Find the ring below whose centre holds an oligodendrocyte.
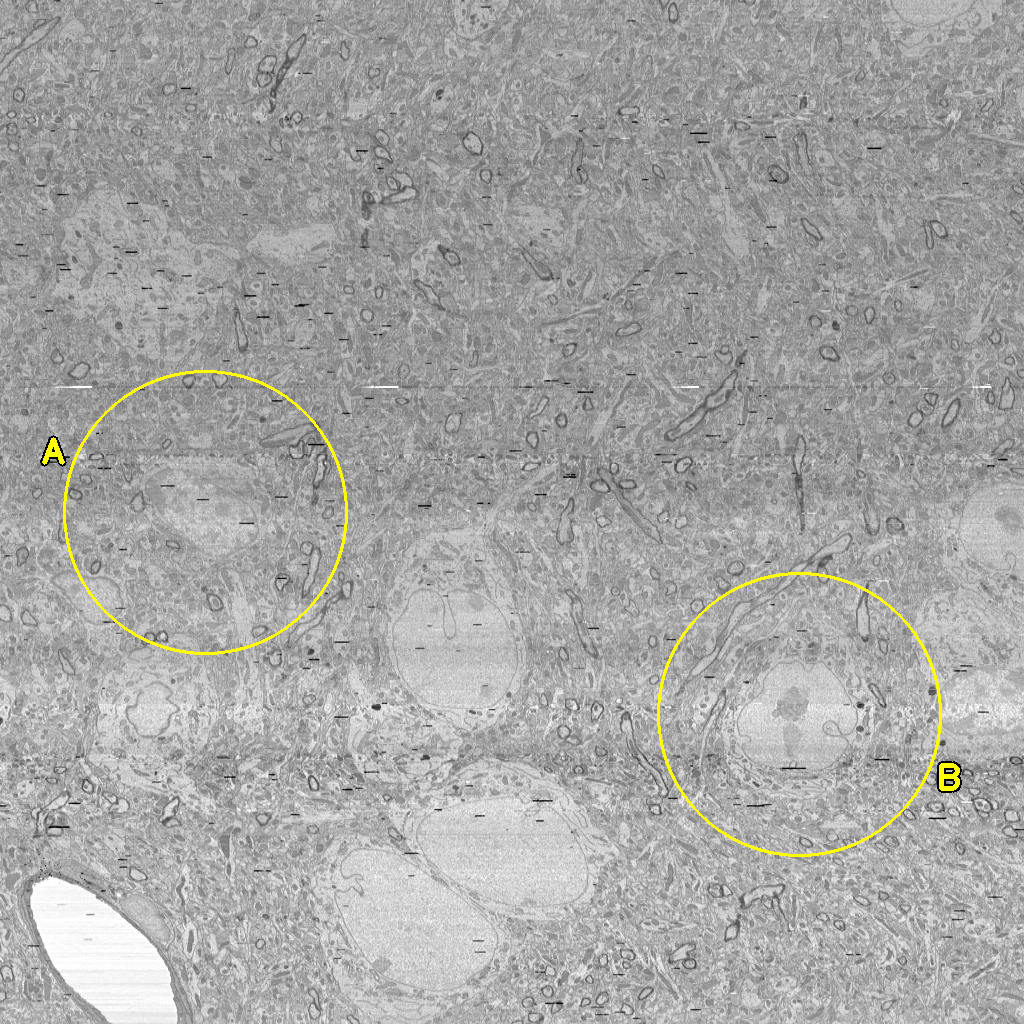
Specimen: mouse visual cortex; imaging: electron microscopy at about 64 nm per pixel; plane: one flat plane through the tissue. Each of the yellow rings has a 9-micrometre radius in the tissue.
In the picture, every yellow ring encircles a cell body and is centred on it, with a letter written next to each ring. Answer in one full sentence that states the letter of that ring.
The ring centred on the cell asked for in the picture carries the letter A.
